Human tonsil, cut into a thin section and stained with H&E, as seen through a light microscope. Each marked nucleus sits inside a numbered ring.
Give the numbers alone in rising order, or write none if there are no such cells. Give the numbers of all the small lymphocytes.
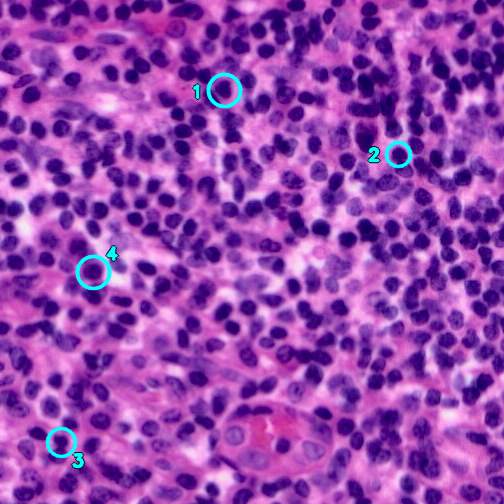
1, 2, 3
